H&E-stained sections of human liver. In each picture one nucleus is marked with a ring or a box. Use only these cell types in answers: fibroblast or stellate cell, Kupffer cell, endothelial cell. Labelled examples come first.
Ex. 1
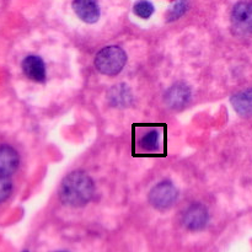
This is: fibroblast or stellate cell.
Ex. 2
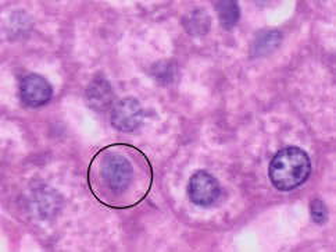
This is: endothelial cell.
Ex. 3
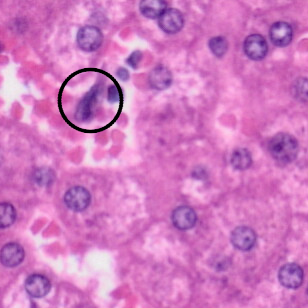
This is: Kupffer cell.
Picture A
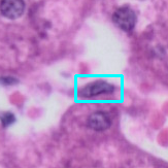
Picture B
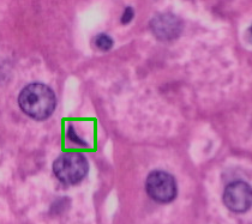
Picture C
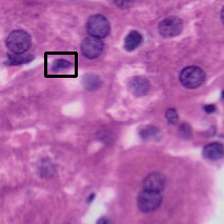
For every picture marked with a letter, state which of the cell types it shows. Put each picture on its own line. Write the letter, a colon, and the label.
A: Kupffer cell.
B: endothelial cell.
C: fibroblast or stellate cell.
